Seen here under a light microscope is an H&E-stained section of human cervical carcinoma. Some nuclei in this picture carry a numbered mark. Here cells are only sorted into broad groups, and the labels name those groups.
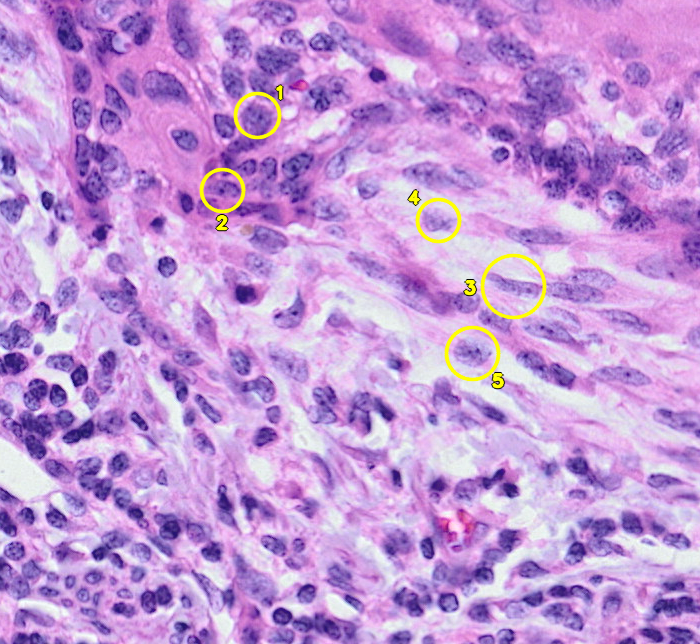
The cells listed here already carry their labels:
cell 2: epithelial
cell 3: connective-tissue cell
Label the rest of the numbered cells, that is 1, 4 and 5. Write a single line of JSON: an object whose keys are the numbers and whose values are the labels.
{"1": "epithelial", "4": "connective-tissue cell", "5": "connective-tissue cell"}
